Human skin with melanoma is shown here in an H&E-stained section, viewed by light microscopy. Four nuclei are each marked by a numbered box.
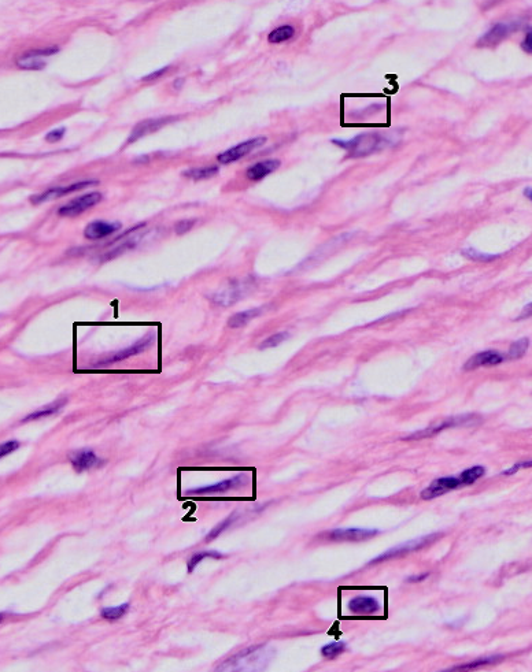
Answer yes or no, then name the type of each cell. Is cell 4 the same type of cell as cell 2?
No, a lymphocyte is what cell 4 is, and a fibroblast or myofibroblast is what cell 2 is.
